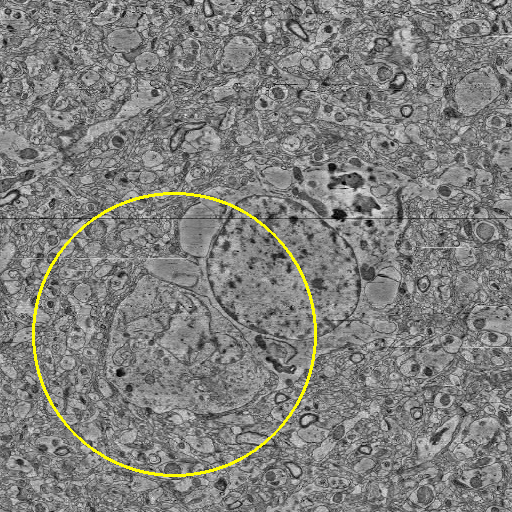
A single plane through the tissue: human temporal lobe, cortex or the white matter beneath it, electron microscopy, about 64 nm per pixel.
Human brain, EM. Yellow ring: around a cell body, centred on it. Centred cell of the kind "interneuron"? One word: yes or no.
yes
